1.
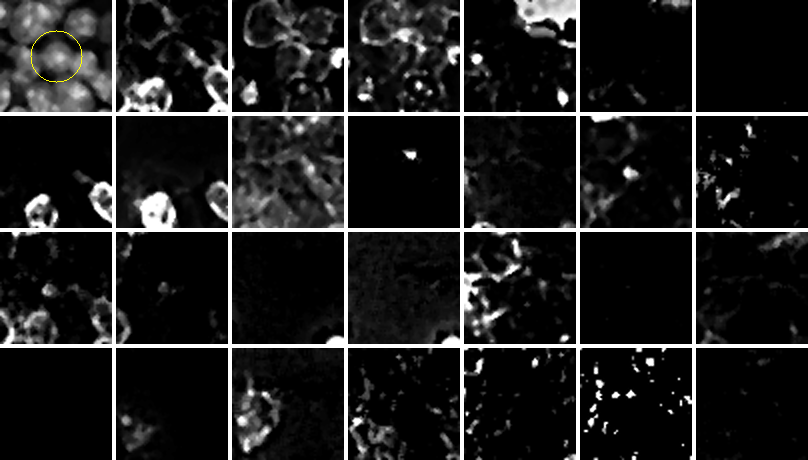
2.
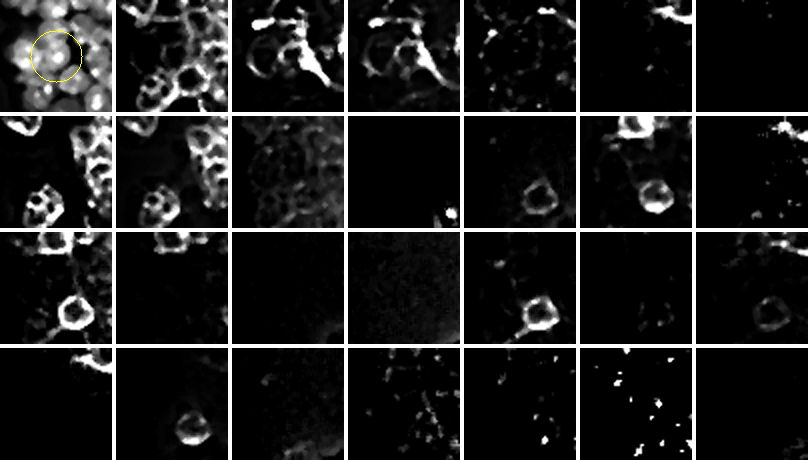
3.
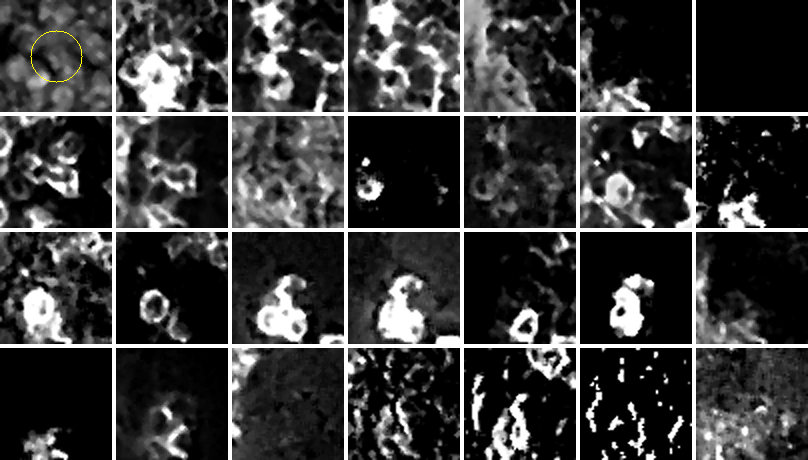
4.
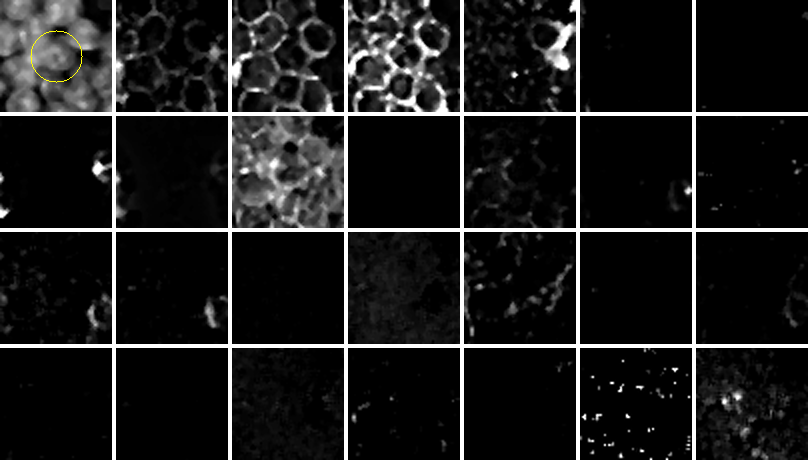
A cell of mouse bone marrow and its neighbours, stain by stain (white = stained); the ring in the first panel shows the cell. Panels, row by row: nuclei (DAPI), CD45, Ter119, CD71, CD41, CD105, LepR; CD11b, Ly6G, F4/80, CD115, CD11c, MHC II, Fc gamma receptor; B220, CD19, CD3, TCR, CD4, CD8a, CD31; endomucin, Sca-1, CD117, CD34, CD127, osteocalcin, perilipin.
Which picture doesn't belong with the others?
Picture 3.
